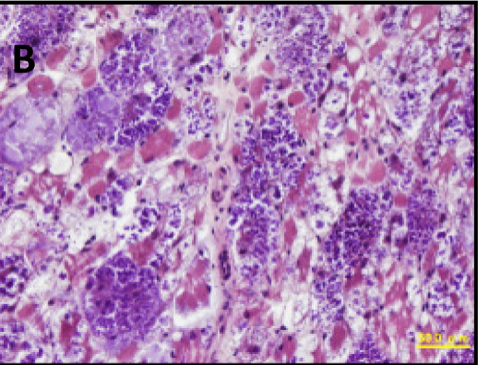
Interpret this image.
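This is skeletal muscle in which many fibers are filled by large vacuoles packed with purple, granular, basophilic material. These vacuolated fibers appear as rounded purple masses much larger than the remaining fibers, which are smaller, pink and scattered between them. The normal mosaic of polygonal fibers is lost, with pale, loose areas lying between the affected fibers.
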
